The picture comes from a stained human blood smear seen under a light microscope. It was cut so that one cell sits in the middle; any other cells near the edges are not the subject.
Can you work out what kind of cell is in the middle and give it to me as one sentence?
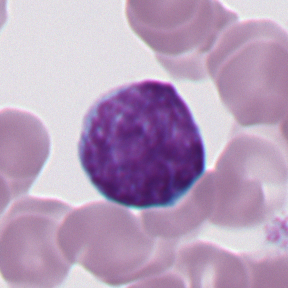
In the crop, the cell of interest at the centre is a typical lymphocyte.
